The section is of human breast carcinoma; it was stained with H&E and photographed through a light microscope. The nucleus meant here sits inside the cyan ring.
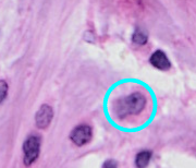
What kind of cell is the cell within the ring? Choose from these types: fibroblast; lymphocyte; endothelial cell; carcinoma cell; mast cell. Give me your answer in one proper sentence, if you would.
On this particular slide, the cell within the ring is a mast cell.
